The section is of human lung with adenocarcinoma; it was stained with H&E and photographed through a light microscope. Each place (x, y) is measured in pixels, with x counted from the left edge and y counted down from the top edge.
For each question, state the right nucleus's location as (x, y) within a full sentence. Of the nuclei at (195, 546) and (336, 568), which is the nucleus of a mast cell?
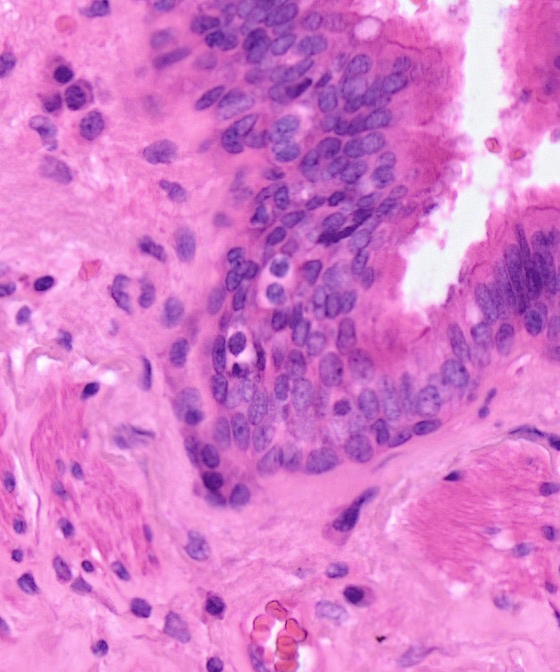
The member of the pair belonging to a mast cell is the nucleus at (336, 568).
